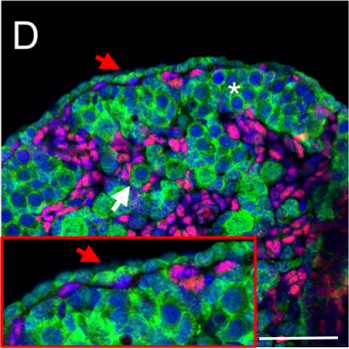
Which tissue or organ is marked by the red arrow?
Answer: ovarian surface epithelium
